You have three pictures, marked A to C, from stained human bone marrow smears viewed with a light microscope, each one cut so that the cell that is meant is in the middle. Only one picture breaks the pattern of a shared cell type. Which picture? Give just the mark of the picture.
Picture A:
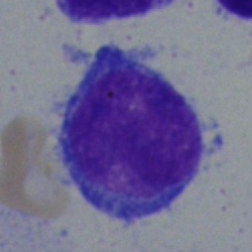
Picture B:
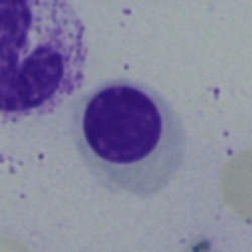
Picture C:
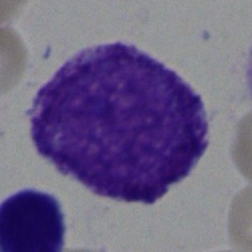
B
